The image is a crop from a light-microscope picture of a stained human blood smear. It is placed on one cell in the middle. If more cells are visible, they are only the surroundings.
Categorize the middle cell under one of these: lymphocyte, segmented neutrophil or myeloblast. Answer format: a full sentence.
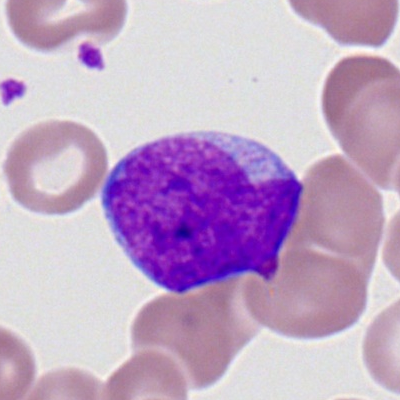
Occupying the centre of the crop is a myeloblast.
